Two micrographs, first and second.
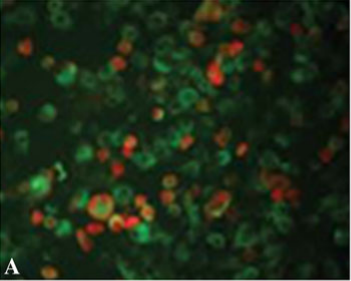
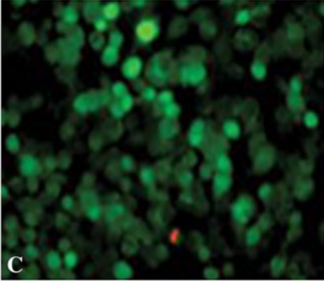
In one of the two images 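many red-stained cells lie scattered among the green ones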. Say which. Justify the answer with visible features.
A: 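The first image. Second image: nearly all cells are green; only one small red cell is visible near the lower edge. First image: numerous bright red cells are scattered throughout the field among the green-rimmed cells.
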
